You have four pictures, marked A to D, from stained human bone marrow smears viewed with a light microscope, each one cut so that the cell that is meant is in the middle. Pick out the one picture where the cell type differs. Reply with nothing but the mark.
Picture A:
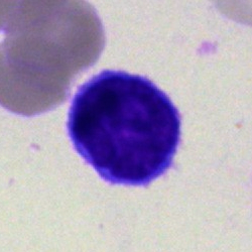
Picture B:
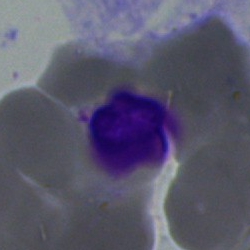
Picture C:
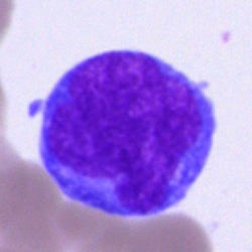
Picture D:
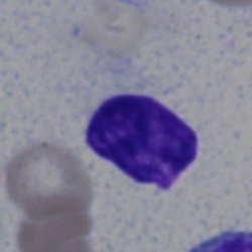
C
